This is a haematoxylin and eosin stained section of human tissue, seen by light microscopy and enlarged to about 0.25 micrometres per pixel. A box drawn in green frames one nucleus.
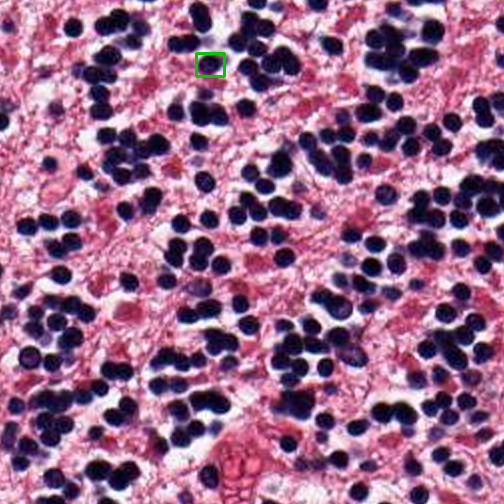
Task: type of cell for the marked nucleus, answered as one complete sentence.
Here the marked nucleus is part of a cerebellar granule cell.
